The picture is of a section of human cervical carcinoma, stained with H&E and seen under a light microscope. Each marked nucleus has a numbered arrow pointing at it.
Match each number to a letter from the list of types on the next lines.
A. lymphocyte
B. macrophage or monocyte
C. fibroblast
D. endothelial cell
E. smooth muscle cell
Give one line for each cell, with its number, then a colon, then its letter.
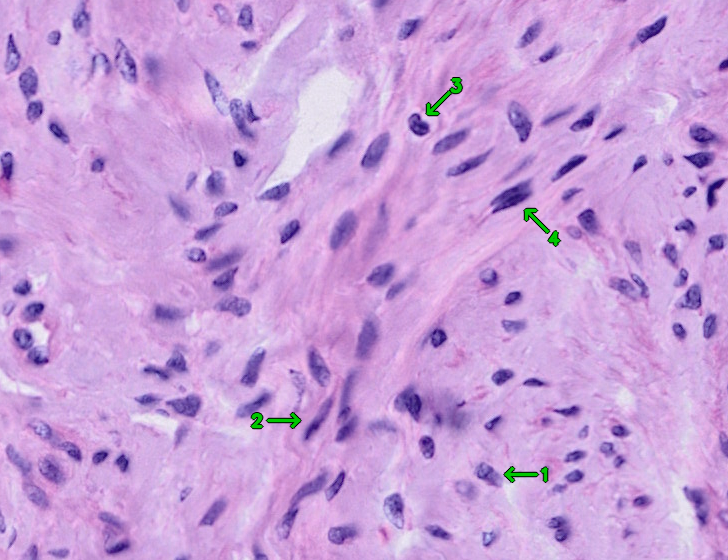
1: C
2: C
3: A
4: C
